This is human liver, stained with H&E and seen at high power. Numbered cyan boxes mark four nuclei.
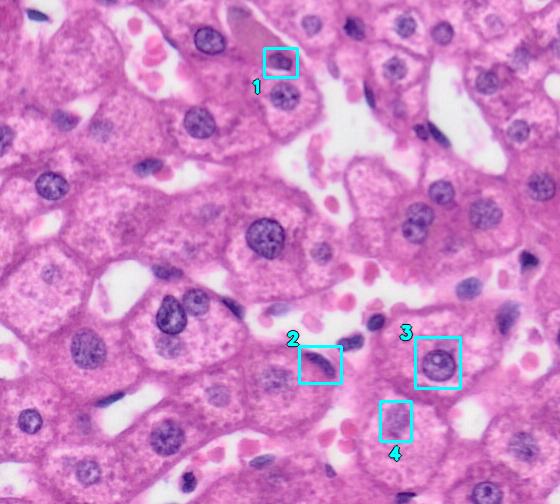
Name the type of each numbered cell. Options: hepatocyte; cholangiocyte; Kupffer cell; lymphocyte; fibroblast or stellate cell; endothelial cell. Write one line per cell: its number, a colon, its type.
1: Kupffer cell
2: fibroblast or stellate cell
3: hepatocyte
4: hepatocyte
